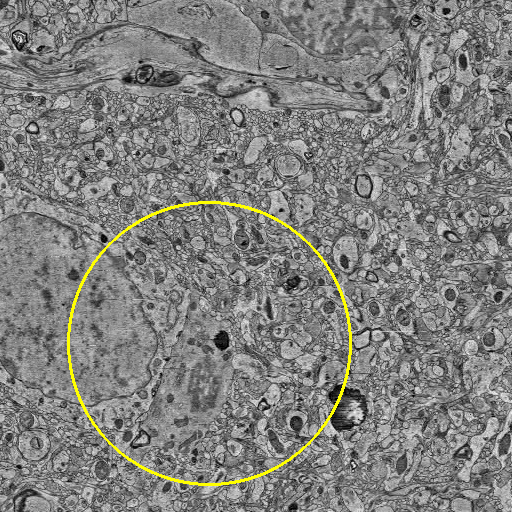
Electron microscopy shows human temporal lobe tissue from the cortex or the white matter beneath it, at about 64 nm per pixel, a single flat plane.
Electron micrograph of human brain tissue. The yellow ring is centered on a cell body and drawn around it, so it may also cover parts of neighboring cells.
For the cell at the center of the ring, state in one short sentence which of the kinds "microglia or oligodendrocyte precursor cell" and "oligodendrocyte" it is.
This ring is centered on an oligodendrocyte.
